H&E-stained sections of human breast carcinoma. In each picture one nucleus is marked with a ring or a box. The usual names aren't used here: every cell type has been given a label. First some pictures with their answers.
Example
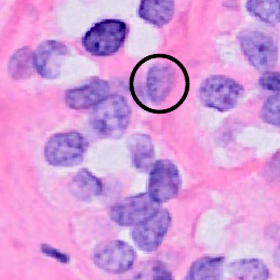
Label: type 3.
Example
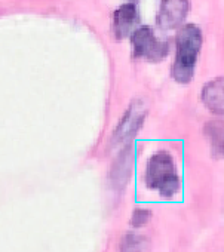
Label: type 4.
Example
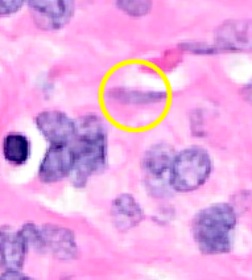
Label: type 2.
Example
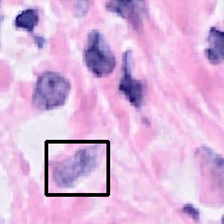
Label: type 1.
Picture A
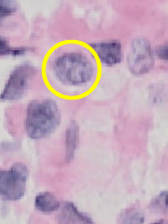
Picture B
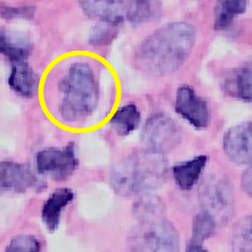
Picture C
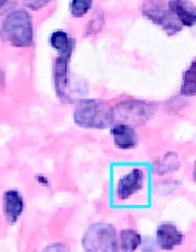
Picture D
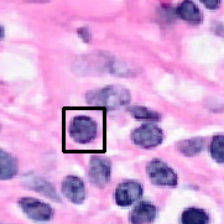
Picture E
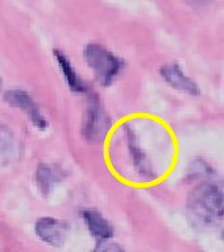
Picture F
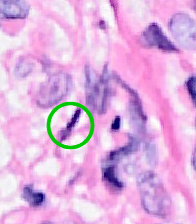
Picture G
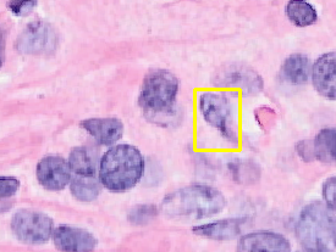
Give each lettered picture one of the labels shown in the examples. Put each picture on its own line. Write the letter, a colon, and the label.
A: type 3.
B: type 3.
C: type 4.
D: type 4.
E: type 1.
F: type 1.
G: type 2.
